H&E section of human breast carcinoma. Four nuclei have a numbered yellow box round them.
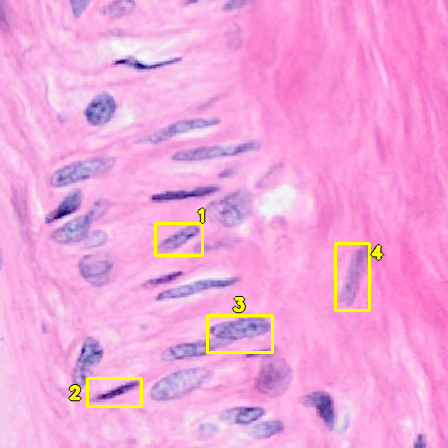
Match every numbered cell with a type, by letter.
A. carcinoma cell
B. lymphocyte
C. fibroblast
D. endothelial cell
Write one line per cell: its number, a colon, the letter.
1: D
2: D
3: D
4: C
